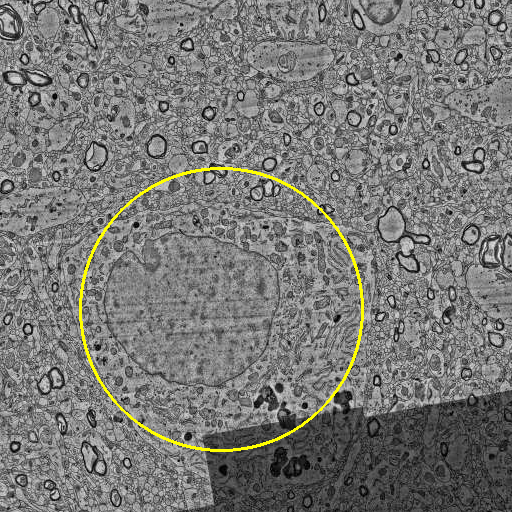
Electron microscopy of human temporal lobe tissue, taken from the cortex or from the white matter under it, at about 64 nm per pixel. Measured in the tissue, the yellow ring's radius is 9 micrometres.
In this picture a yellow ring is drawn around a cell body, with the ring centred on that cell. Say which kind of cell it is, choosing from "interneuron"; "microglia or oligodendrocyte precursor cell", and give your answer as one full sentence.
Here it is an interneuron that sits at the centre of the drawn yellow ring.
